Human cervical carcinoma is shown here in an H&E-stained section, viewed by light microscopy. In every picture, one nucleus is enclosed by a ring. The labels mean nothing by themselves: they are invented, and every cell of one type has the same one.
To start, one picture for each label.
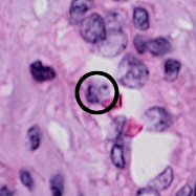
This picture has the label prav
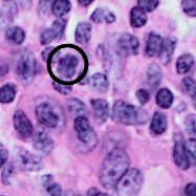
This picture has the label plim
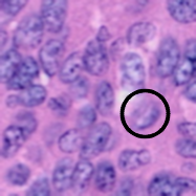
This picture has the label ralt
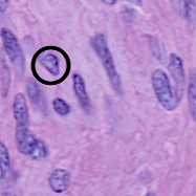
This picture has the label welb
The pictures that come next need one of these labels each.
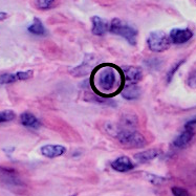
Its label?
plim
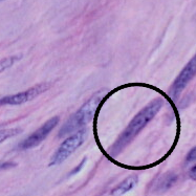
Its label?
welb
